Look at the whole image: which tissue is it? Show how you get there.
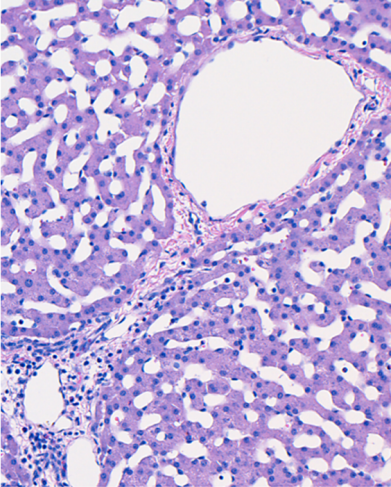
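Healthy liver tissue. Plates of polygonal cells with round central nuclei separated by open sinusoids. A large thin-walled vein with a thin rim of connective tissue.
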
